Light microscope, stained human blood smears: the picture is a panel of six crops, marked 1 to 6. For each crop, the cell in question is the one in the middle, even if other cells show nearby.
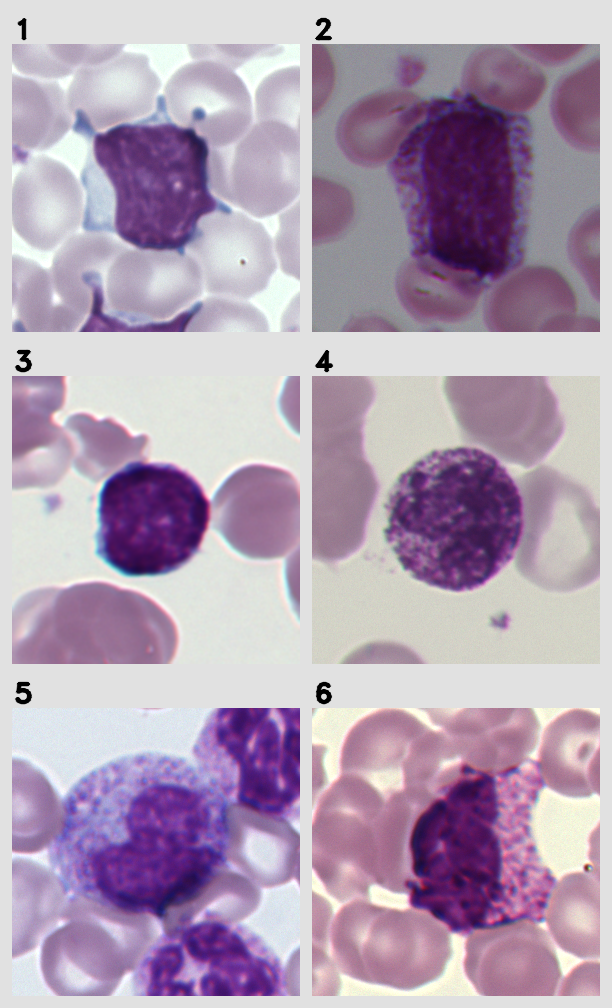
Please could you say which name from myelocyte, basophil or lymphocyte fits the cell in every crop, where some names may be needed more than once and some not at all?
1: lymphocyte
2: myelocyte
3: lymphocyte
4: basophil
5: myelocyte
6: basophil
